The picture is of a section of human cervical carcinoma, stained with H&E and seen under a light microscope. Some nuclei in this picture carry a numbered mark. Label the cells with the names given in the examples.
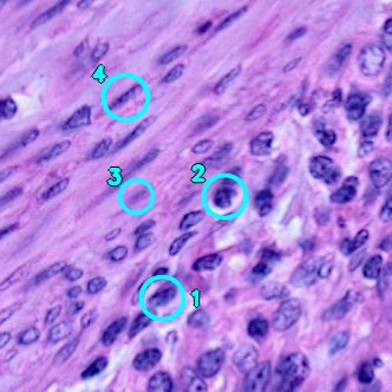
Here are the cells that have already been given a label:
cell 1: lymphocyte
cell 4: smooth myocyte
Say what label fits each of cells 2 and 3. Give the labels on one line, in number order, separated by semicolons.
lymphocyte; smooth myocyte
